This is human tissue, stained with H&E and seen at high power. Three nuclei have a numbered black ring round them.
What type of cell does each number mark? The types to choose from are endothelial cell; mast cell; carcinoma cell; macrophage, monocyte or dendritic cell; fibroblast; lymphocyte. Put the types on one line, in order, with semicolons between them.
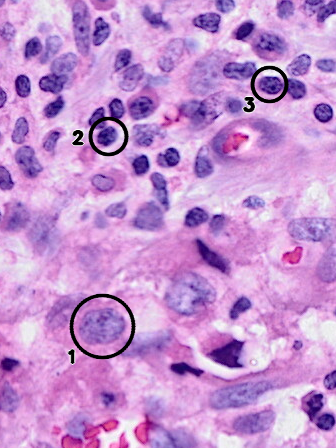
carcinoma cell; lymphocyte; lymphocyte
